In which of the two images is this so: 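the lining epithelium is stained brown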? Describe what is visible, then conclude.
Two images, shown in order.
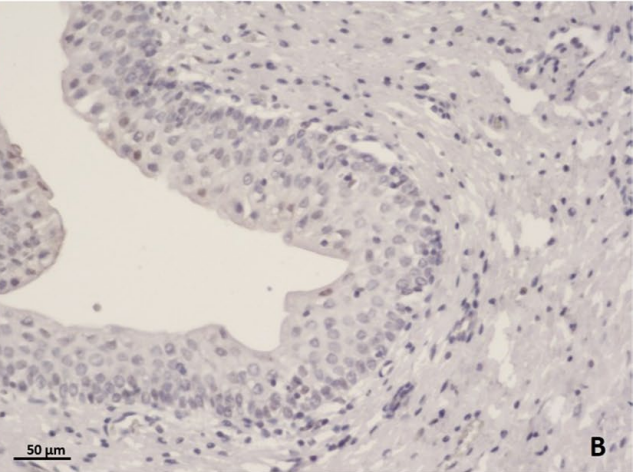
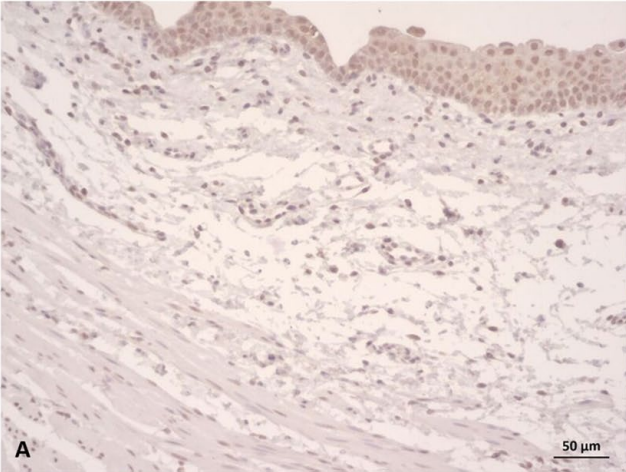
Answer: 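Second image: the epithelial layer at the top is clearly brown.
The second image.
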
